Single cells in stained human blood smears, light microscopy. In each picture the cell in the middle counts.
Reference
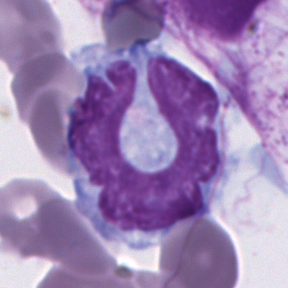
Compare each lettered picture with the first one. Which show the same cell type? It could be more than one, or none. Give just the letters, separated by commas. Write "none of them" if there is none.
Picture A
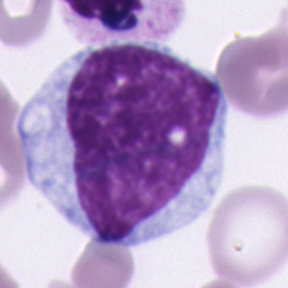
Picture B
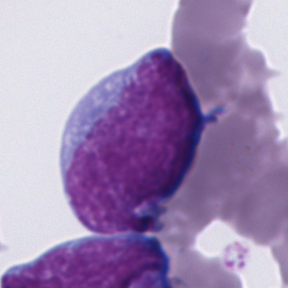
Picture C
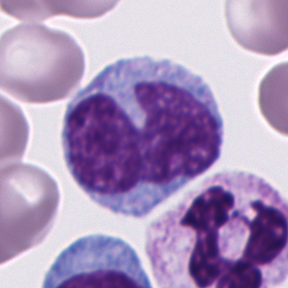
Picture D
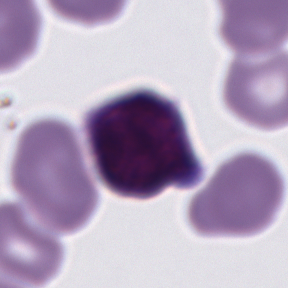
A, C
